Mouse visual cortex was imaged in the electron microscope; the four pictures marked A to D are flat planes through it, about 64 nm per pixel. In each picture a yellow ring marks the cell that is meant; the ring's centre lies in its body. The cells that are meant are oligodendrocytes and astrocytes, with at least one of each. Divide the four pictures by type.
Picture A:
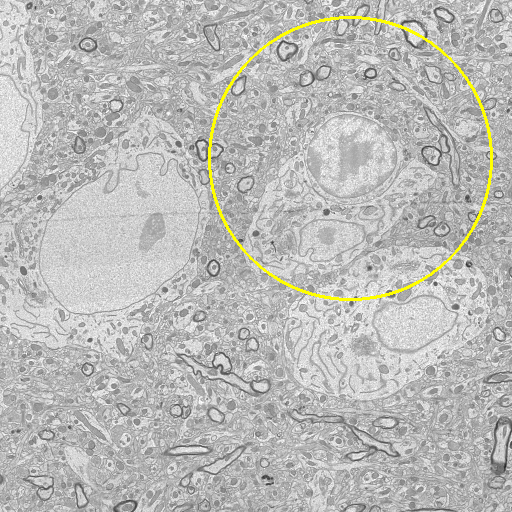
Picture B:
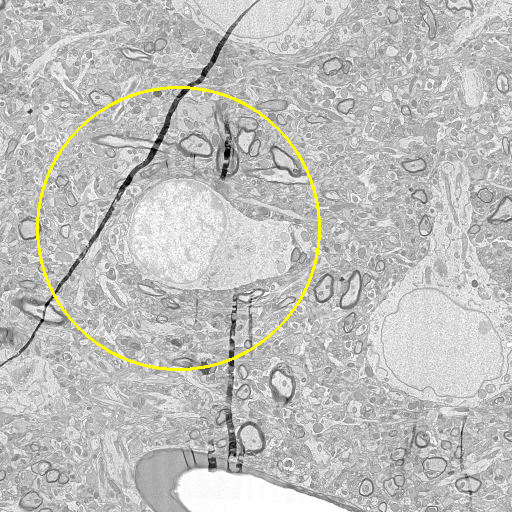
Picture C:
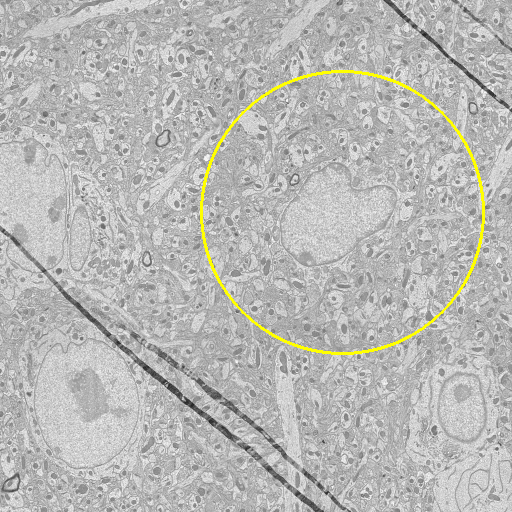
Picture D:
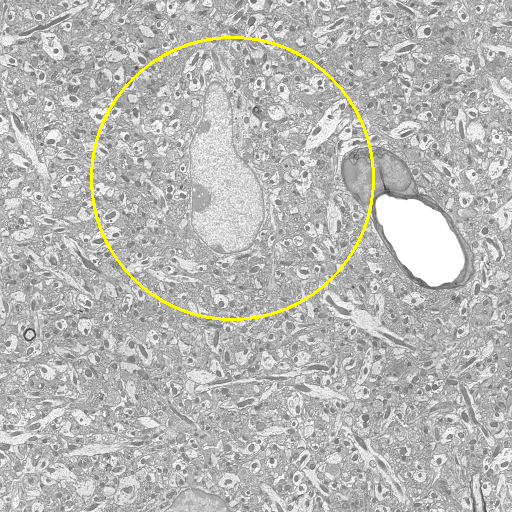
Pictures A and B show oligodendrocytes, while pictures C and D show astrocytes.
